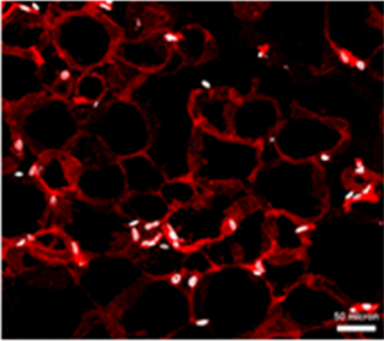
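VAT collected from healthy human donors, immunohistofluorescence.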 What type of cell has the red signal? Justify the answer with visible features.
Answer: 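Adipocytes. Red rims outline large, empty-looking rounded spaces. The spaces are packed closely against one another.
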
